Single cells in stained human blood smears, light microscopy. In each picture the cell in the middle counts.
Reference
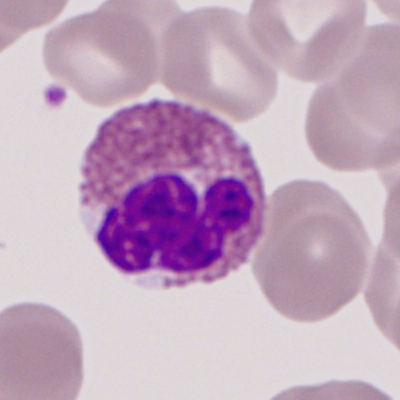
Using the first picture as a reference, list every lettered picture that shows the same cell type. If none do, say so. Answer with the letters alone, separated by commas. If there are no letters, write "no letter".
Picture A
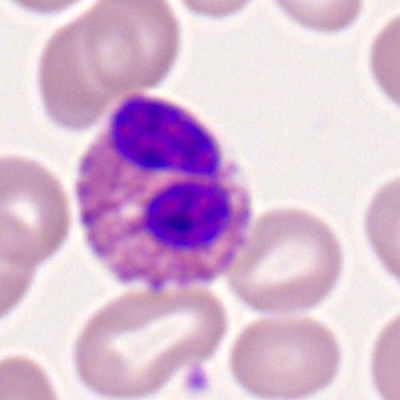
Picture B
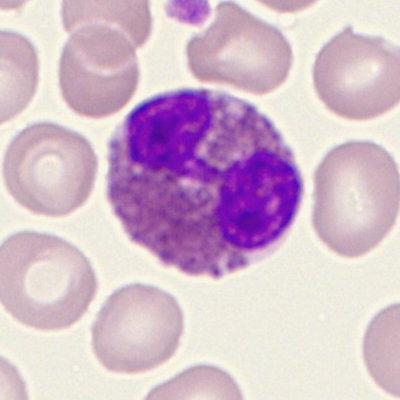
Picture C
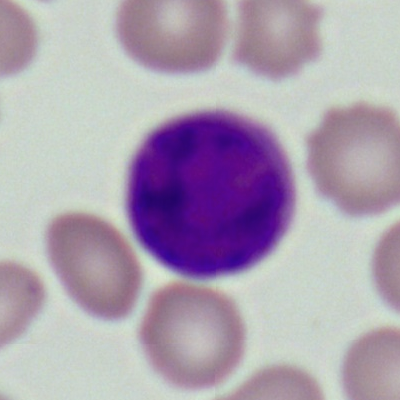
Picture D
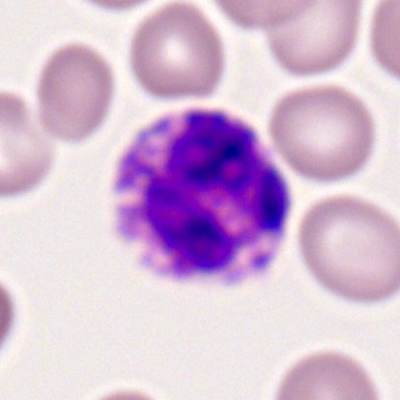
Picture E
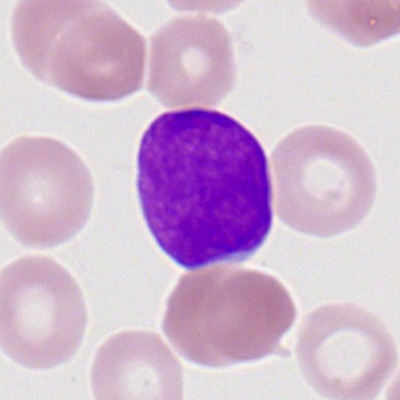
A, B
